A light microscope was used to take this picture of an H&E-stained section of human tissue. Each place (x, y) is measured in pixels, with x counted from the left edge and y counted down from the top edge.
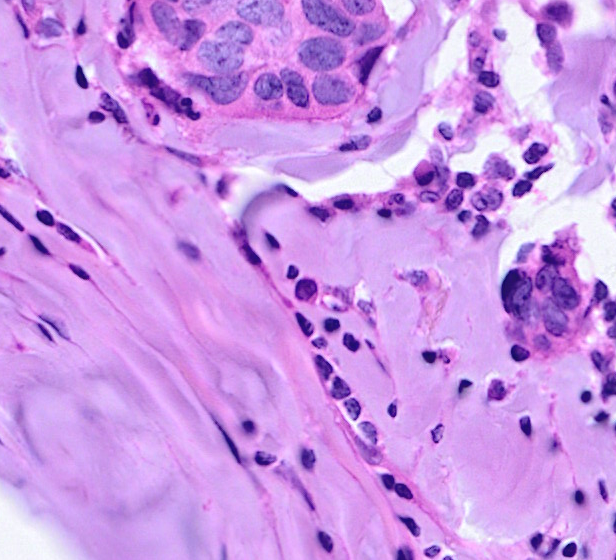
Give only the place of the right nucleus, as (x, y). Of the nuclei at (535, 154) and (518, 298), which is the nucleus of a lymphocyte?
(535, 154)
